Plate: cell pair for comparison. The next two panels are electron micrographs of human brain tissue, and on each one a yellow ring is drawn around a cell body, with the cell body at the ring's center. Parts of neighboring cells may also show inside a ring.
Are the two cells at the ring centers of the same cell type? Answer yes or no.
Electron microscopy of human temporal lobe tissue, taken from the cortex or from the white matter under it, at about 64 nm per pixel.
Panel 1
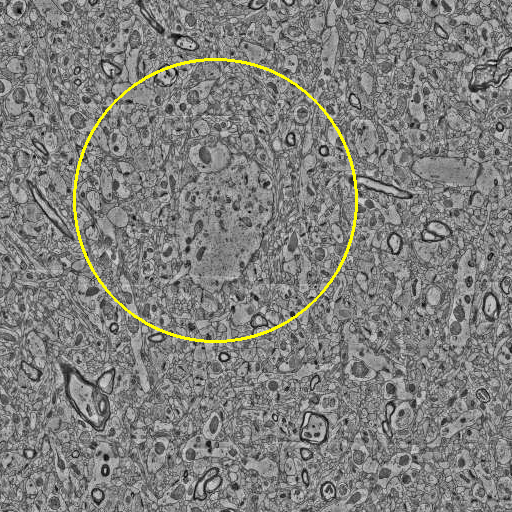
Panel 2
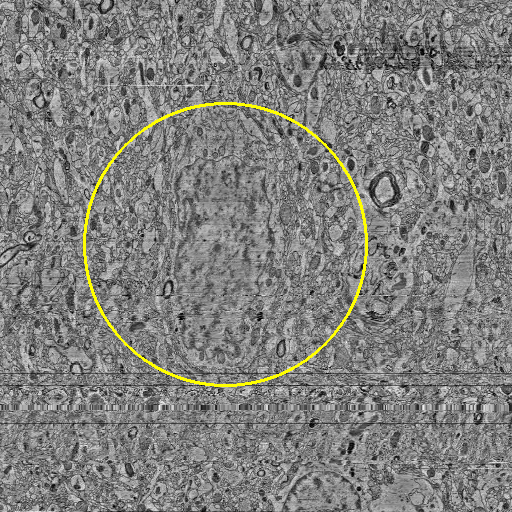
yes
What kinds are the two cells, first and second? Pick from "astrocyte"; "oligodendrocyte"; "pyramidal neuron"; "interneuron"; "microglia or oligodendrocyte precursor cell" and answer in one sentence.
Each of the two pictures has an interneuron at the ring centre.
